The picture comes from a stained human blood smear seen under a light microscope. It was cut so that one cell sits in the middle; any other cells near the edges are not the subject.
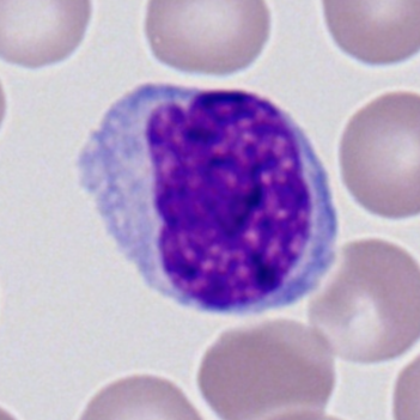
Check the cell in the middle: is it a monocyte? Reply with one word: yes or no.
yes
